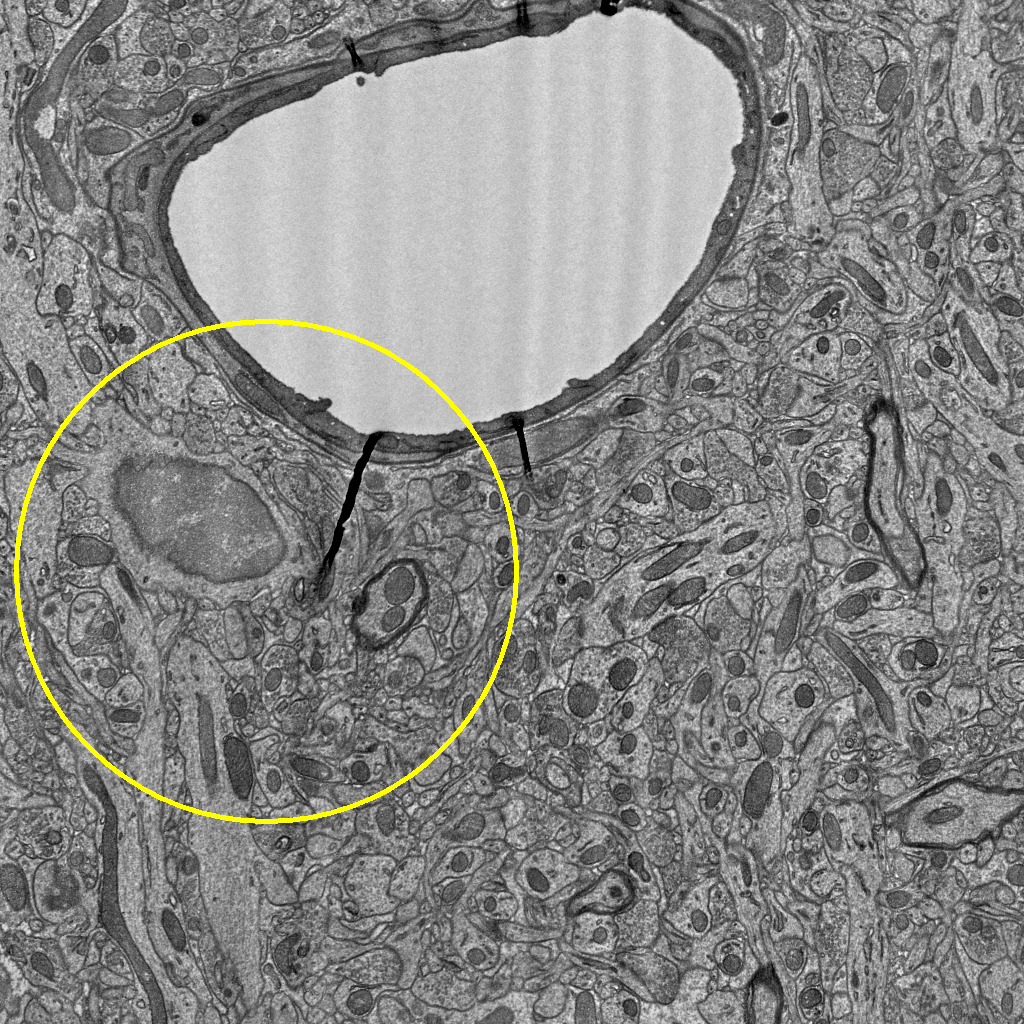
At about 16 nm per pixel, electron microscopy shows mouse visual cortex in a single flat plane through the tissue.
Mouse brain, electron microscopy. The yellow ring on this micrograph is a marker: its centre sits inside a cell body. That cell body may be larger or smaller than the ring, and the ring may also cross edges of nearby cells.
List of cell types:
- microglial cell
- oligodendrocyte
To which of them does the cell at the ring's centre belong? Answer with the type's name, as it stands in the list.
microglial cell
